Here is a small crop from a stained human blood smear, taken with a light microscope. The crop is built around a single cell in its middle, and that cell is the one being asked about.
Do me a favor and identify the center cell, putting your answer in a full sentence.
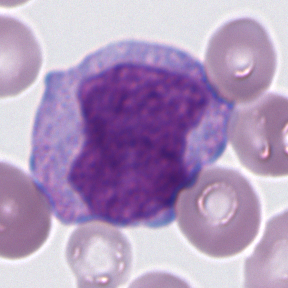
Present in the middle of the crop is an atypical promyelocyte.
